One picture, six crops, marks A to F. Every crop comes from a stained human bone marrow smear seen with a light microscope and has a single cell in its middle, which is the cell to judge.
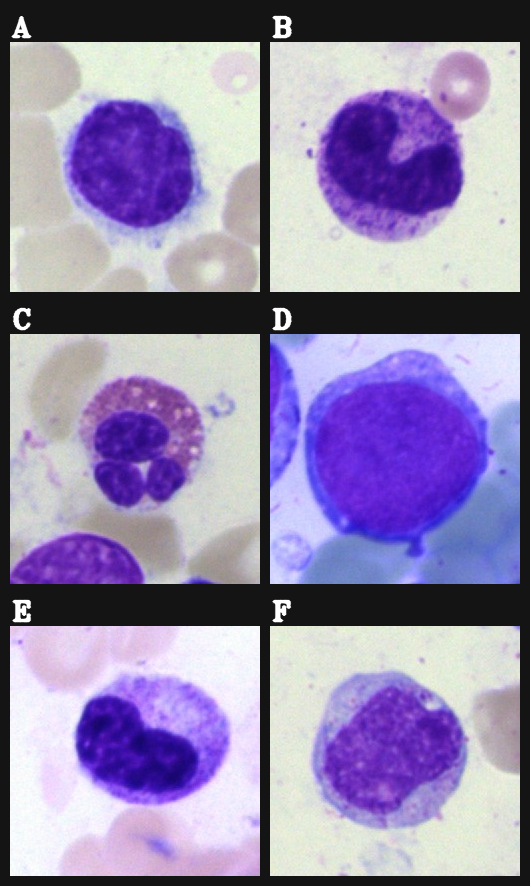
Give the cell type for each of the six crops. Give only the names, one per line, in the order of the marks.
hairy cell
band neutrophil
eosinophil
blast
metamyelocyte
monocyte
